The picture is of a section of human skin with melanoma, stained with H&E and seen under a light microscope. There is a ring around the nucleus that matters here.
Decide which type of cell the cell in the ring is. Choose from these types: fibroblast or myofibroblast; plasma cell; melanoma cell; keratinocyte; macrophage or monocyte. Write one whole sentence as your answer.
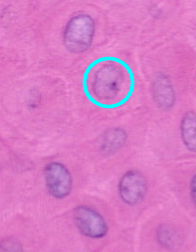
In this section of tissue, the cell in the ring is a keratinocyte.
